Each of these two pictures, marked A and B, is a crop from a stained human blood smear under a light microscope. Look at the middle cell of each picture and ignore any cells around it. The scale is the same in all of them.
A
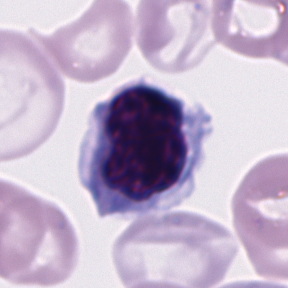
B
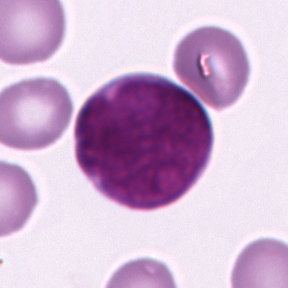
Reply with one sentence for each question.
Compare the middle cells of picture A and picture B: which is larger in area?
It is the cell in picture B, about 1.5 times as large in area as the cell in picture A.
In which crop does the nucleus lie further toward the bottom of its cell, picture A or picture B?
It is the nucleus in picture B that lies further toward the bottom of its cell.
